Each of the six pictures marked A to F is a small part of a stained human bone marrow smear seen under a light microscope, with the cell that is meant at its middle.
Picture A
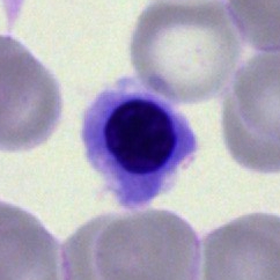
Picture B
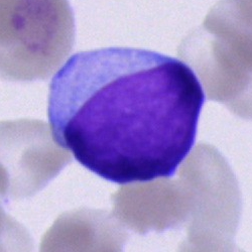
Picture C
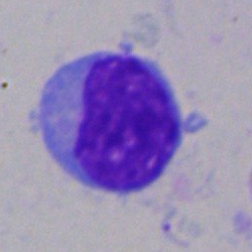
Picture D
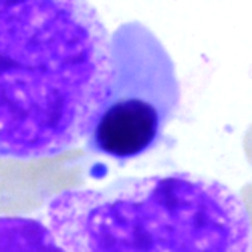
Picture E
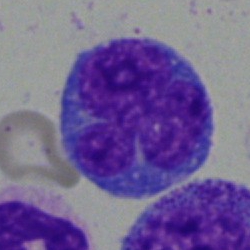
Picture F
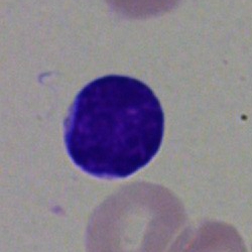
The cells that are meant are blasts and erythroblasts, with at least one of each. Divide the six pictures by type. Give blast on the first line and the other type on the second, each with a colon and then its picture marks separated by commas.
blast: B, C, E, F
erythroblast: A, D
